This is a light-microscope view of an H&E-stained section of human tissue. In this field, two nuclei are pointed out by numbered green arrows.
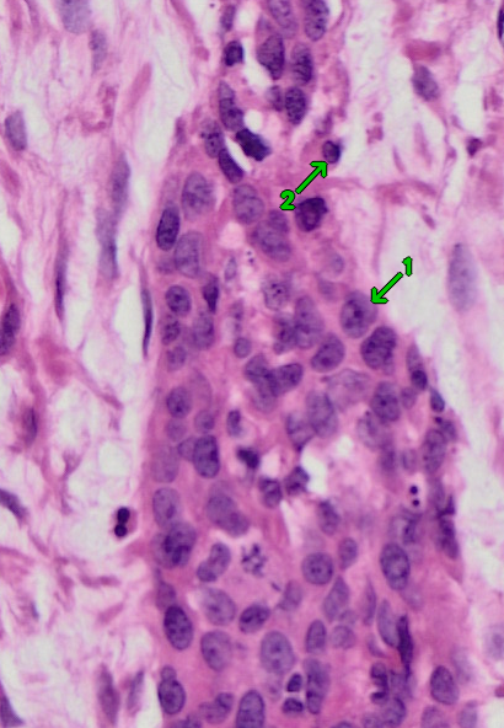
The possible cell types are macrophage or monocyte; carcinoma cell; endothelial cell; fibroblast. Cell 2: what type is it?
macrophage or monocyte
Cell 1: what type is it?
carcinoma cell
